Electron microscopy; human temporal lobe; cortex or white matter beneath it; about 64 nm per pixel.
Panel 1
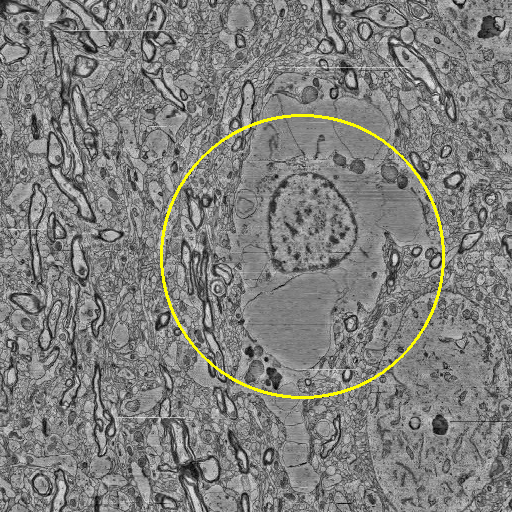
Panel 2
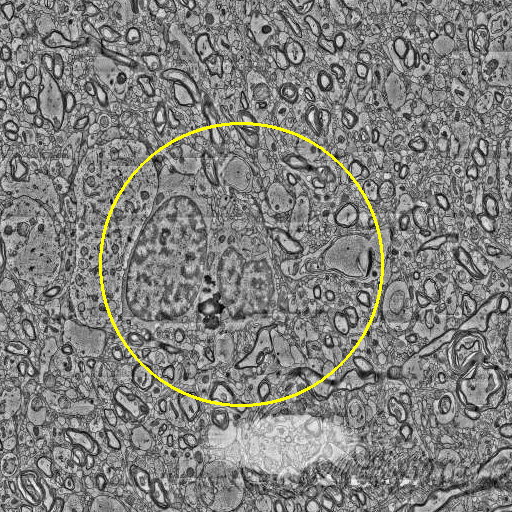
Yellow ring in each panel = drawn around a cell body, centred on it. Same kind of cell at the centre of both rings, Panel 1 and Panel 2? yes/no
no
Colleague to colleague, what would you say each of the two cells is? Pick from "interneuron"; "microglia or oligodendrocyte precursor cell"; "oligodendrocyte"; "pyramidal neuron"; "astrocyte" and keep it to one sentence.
The cell in the first picture is an astrocyte; the second picture's cell is an oligodendrocyte.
